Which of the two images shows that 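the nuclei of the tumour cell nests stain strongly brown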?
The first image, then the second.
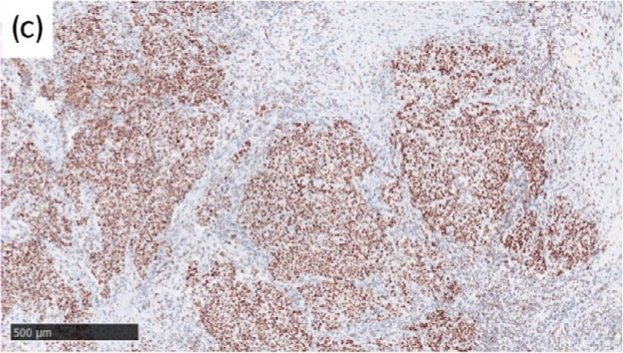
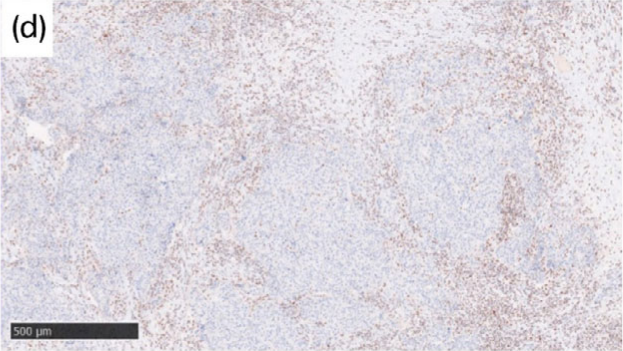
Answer: The first image.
